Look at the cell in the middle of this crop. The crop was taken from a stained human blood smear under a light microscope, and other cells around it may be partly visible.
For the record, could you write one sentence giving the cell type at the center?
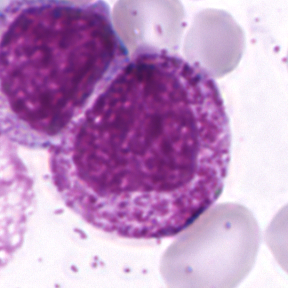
The cell found in the middle of this crop is a myelocyte.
